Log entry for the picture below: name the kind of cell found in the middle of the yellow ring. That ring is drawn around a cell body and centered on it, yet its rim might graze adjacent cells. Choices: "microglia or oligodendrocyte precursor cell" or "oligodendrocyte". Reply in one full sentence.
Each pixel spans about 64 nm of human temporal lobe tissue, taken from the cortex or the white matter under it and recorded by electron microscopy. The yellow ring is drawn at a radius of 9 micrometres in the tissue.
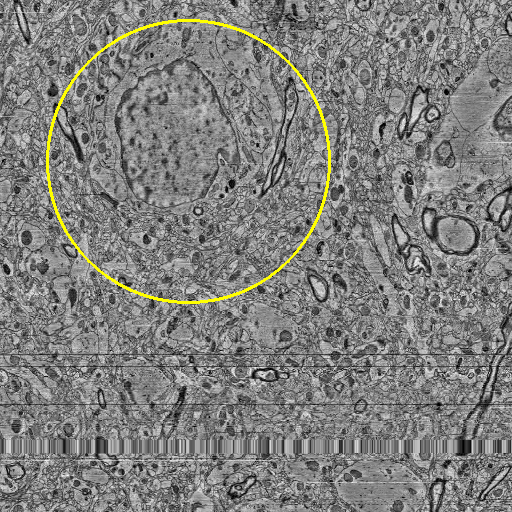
The cell in the middle of the yellow ring in this picture is a microglial cell or oligodendrocyte precursor cell.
